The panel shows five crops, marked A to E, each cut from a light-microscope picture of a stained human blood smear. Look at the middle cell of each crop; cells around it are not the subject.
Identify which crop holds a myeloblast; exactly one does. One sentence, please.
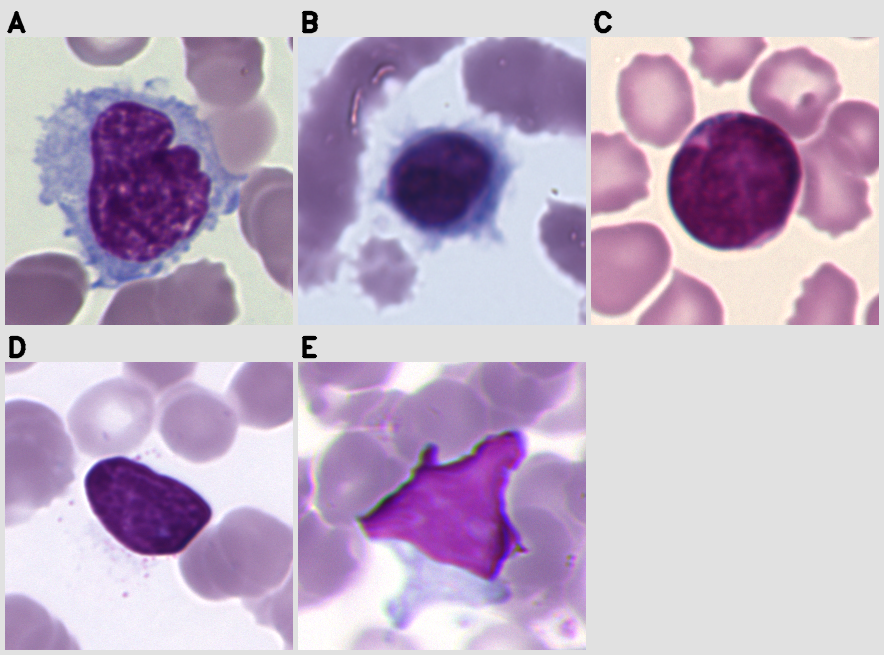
Crop C is the one in the set with a myeloblast at the center.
